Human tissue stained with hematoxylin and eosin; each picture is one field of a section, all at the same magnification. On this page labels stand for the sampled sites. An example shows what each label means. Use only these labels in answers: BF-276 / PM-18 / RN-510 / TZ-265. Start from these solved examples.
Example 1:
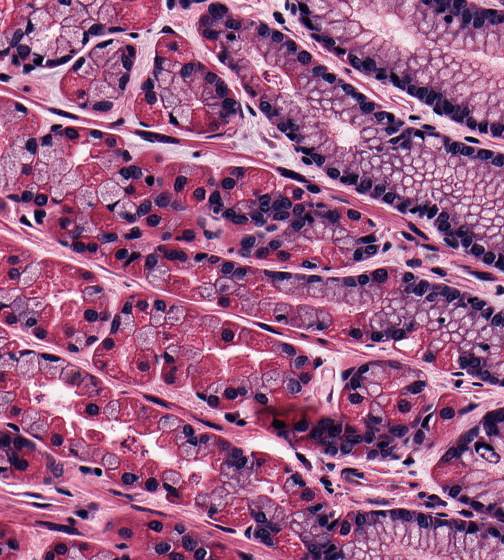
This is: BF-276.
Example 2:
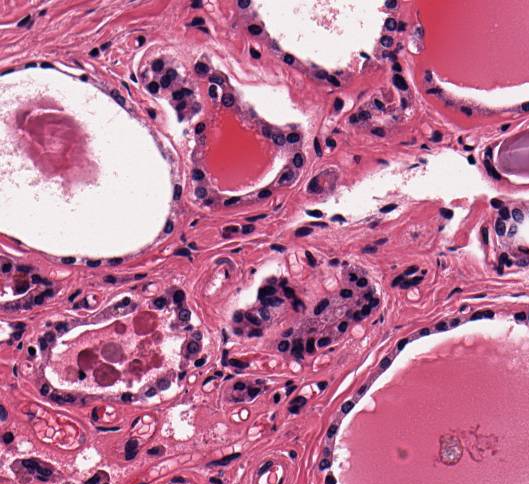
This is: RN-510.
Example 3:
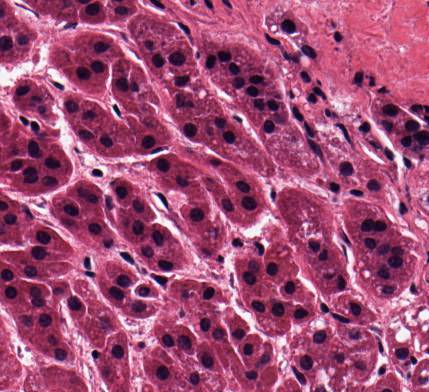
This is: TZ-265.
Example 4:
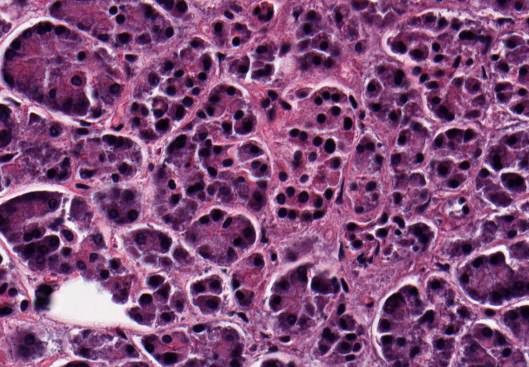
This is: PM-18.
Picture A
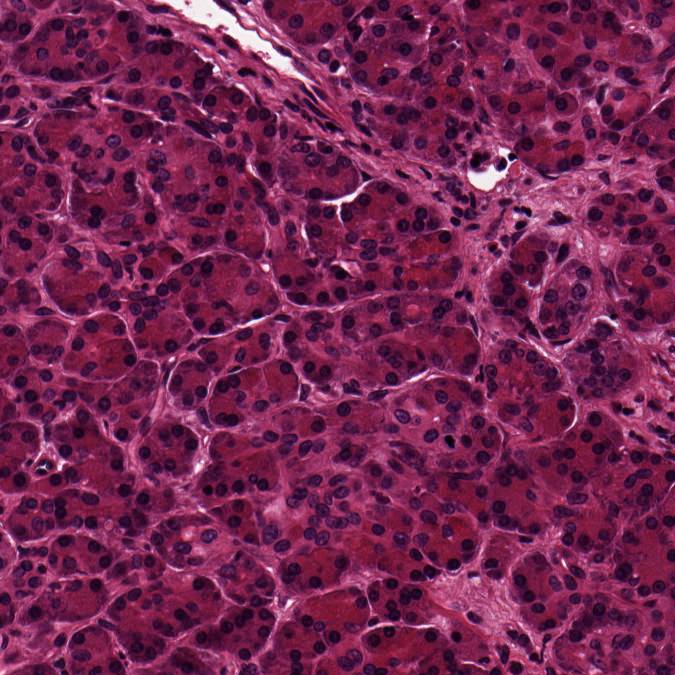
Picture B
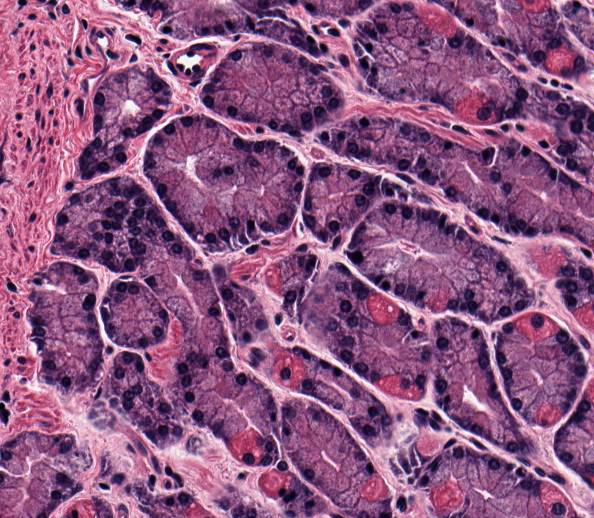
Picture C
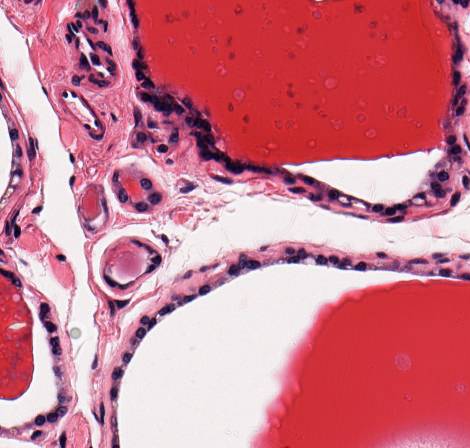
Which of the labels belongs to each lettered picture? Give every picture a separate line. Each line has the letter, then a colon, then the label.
A: PM-18.
B: BF-276.
C: RN-510.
